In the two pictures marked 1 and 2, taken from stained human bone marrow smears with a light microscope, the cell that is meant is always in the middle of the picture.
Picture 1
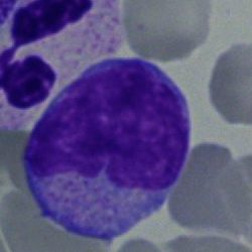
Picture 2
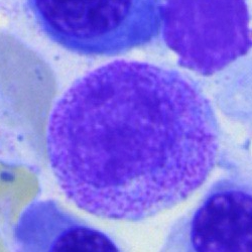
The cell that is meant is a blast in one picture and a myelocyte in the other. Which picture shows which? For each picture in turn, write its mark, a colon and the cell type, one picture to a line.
1: blast
2: myelocyte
